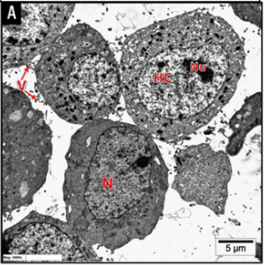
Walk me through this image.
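Low-magnification view of several rounded cultured cells lying apart from one another, each with a large, roughly central nucleus. The nuclei hold clumped dense heterochromatin and a dark, compact nucleolus, and are surrounded by a rim of cytoplasm containing scattered dark granules. Short fine projections, microvilli, stand out from part of the cell surface.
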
